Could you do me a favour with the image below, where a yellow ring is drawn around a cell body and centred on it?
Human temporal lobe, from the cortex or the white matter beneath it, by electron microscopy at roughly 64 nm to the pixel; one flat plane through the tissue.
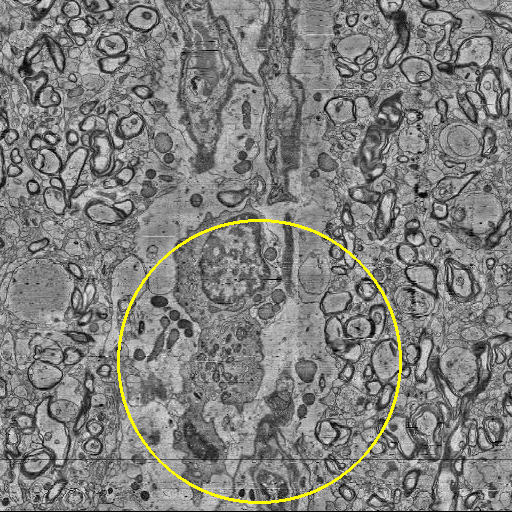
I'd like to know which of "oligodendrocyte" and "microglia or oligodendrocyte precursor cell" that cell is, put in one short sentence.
The cell at the ring's centre is an oligodendrocyte.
